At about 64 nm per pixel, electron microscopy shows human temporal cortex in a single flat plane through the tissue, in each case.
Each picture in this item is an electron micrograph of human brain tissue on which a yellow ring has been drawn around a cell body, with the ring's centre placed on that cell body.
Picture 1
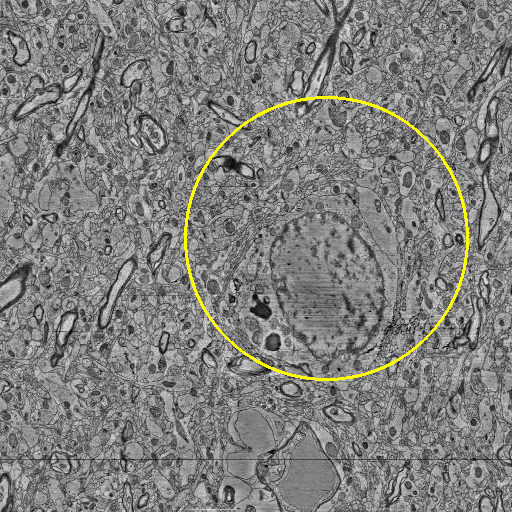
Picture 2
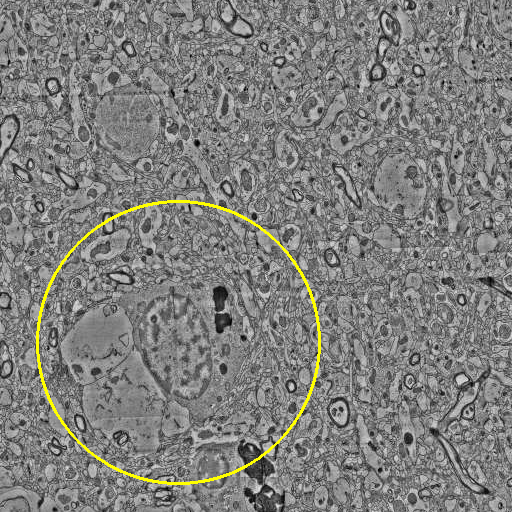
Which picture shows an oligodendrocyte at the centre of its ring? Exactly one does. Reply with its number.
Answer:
2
